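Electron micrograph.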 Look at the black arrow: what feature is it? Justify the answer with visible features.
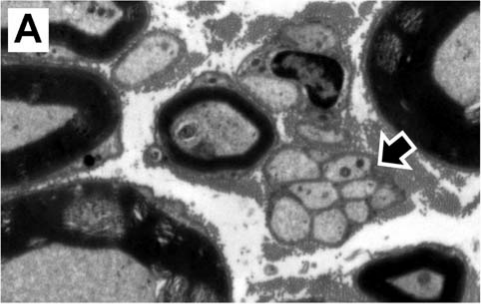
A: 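Unmyelinated axons. A cluster of small pale rounded profiles lies grouped together where the arrow points. These profiles have no dark ring around them. Nearby profiles are surrounded by thick black rings.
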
